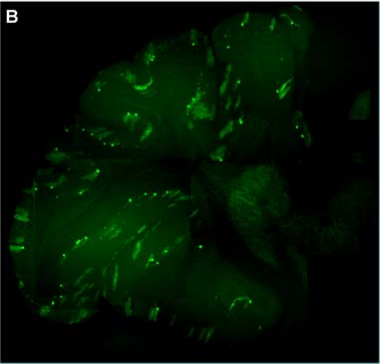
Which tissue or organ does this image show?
cerebellar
